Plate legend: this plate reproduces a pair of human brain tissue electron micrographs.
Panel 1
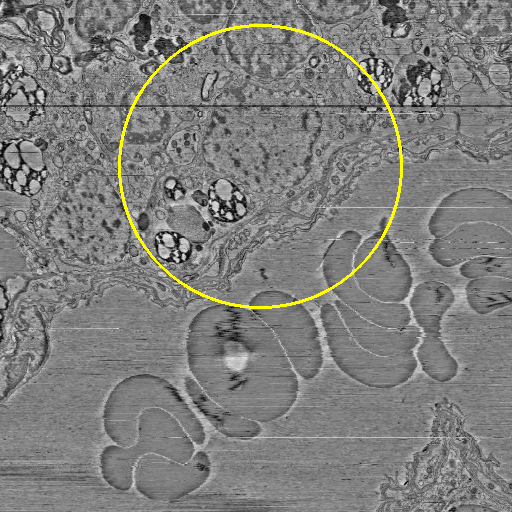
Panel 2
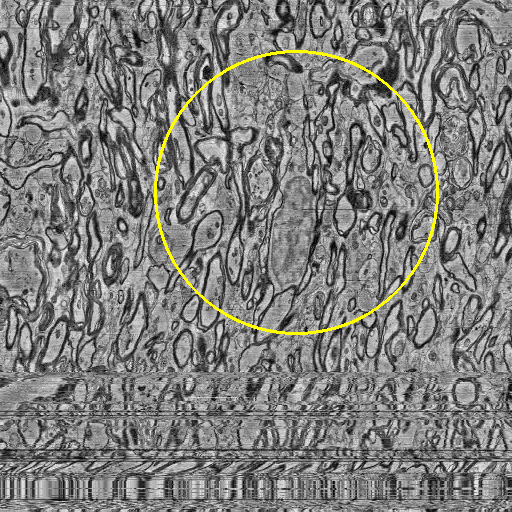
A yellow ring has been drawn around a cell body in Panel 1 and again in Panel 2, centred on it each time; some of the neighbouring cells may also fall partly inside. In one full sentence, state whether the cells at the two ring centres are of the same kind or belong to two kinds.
The ring-centred cells of Panel 1 and Panel 2 belong to two kinds.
